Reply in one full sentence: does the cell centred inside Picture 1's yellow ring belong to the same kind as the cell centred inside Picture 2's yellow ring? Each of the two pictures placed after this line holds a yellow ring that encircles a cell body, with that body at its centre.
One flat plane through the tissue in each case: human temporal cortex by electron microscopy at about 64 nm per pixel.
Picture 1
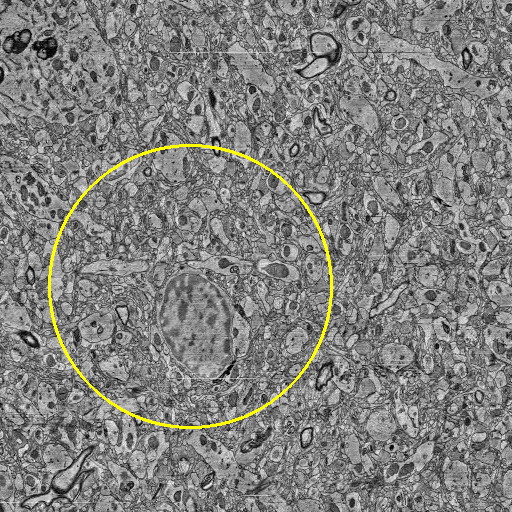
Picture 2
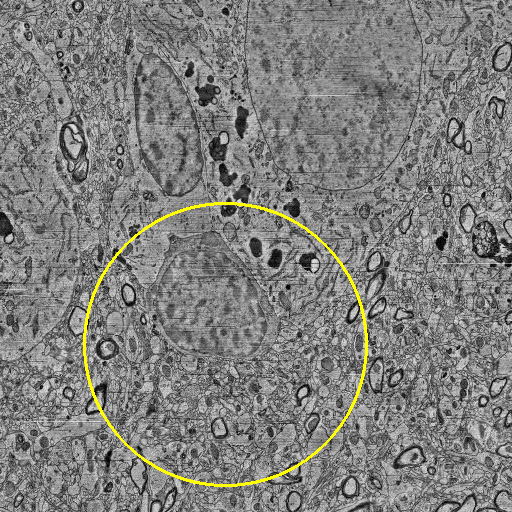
Yes, the ring-centred cells in Picture 1 and Picture 2 are of one and the same kind.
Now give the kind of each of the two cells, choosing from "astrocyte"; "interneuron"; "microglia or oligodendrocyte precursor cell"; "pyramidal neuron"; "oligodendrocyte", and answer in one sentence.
Both pictures show an oligodendrocyte at the centre of the ring.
